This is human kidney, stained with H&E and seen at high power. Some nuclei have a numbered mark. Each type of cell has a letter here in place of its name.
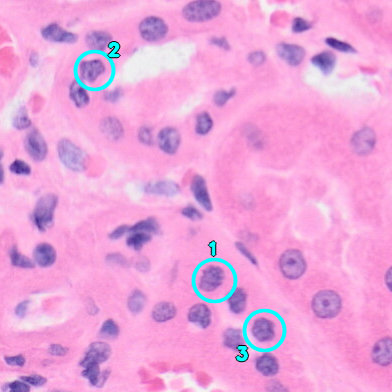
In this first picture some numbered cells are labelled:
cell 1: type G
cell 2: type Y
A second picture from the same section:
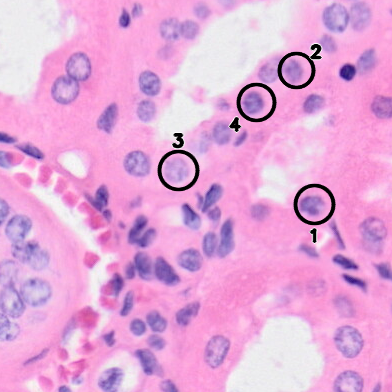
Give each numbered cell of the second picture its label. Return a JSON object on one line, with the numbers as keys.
{"1": "type G", "2": "type Y", "3": "type Y", "4": "type Y"}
